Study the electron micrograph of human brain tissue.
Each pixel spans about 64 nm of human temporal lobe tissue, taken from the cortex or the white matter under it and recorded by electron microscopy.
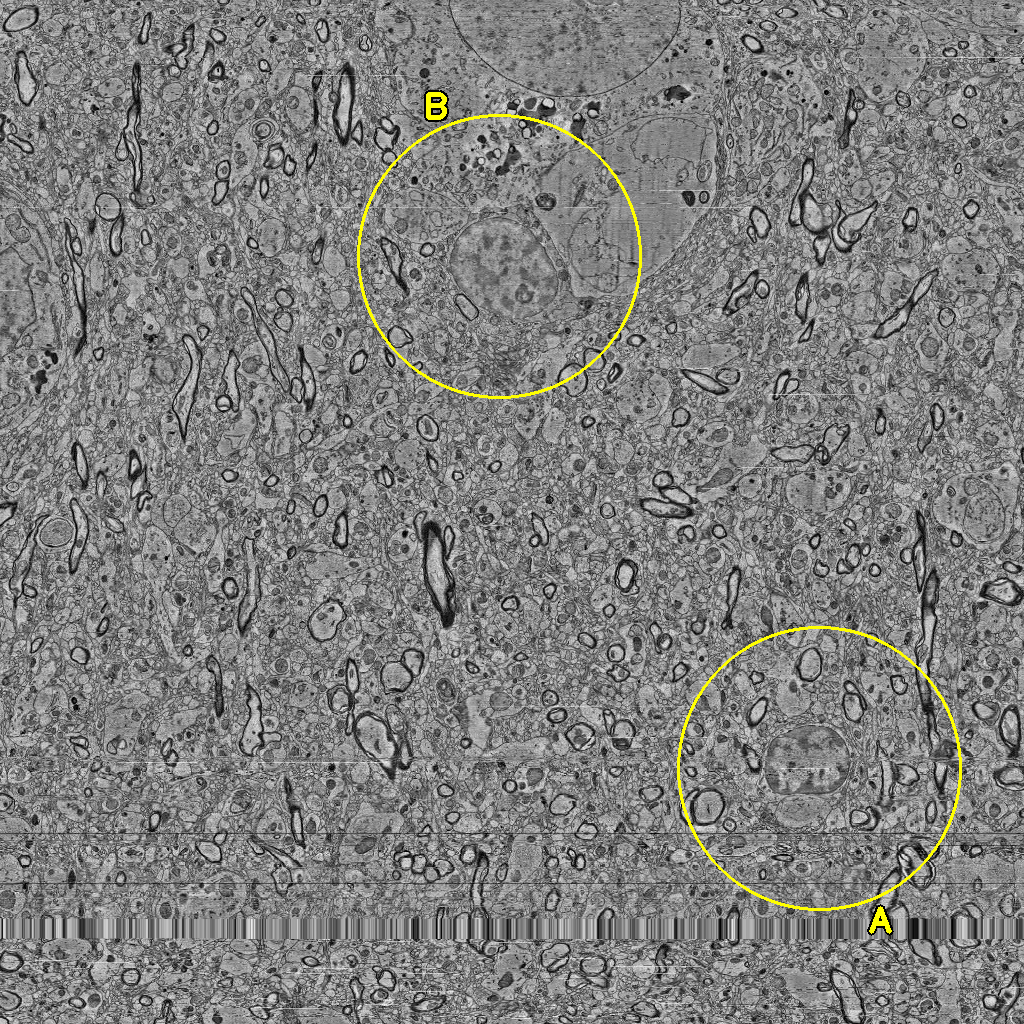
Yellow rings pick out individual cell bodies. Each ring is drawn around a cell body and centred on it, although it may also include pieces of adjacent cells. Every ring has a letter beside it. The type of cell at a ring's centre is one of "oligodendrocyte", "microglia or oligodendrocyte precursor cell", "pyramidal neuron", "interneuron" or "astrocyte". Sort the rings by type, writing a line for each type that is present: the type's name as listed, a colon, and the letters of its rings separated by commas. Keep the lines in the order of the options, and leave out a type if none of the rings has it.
oligodendrocyte: B
microglia or oligodendrocyte precursor cell: A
